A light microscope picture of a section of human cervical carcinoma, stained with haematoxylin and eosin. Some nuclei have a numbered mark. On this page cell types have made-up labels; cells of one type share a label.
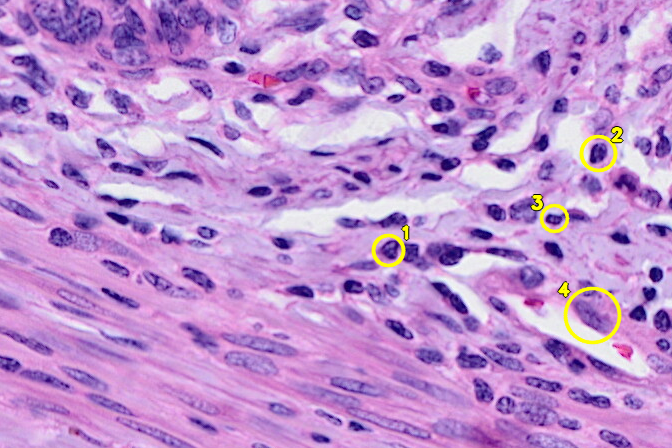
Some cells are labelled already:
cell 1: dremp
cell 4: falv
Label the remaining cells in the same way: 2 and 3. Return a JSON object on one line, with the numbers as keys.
{"2": "dremp", "3": "dremp"}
